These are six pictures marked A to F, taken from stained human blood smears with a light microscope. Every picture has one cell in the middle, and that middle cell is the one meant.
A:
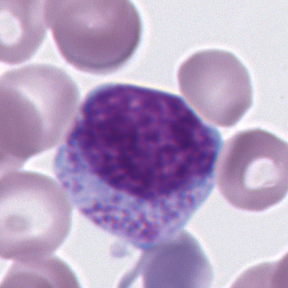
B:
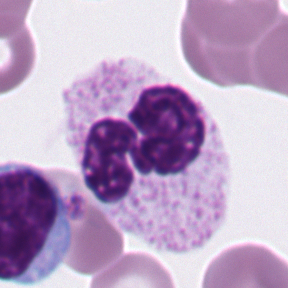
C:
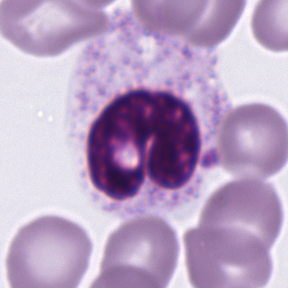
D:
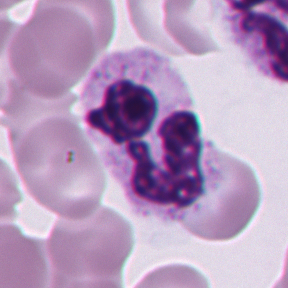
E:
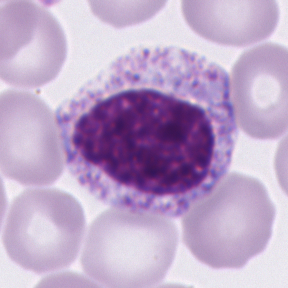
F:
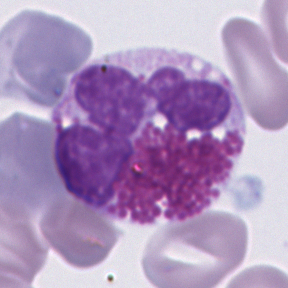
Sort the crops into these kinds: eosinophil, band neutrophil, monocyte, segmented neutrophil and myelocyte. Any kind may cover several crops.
A: myelocyte
B: segmented neutrophil
C: band neutrophil
D: segmented neutrophil
E: myelocyte
F: eosinophil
